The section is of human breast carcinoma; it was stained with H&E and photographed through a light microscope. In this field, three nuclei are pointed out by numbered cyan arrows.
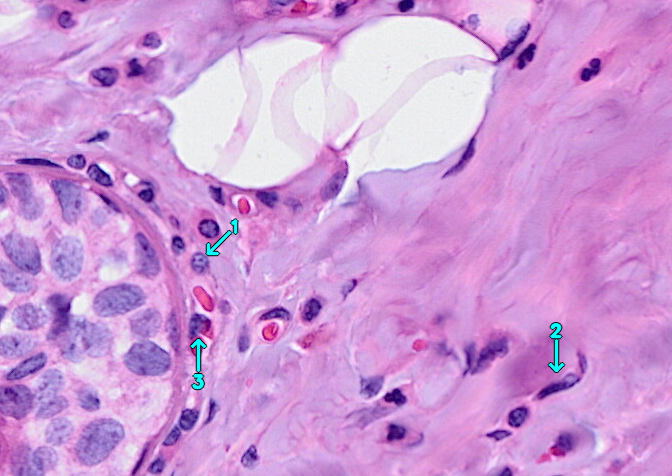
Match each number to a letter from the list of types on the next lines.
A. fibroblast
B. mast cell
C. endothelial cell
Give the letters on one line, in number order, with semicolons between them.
B; A; C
